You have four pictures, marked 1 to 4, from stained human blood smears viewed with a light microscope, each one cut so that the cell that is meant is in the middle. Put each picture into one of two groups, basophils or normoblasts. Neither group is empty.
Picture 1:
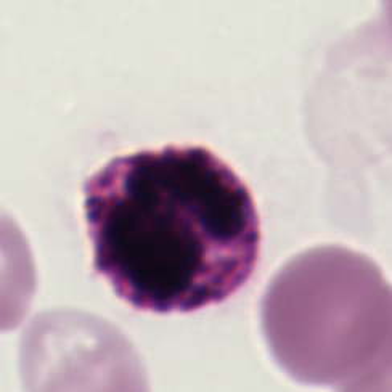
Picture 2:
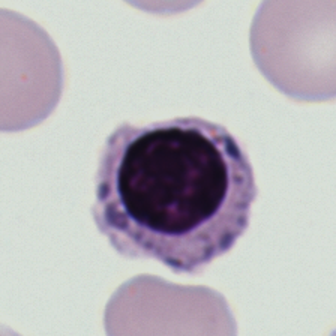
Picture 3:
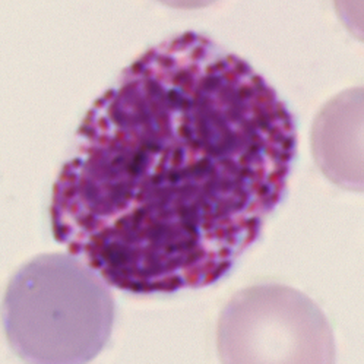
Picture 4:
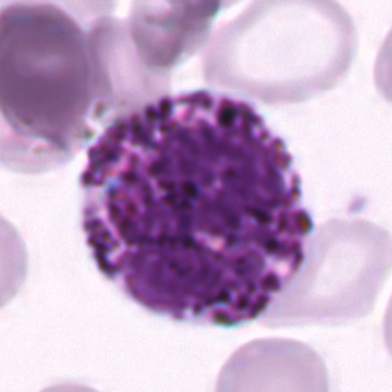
1: basophil
2: normoblast
3: basophil
4: basophil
